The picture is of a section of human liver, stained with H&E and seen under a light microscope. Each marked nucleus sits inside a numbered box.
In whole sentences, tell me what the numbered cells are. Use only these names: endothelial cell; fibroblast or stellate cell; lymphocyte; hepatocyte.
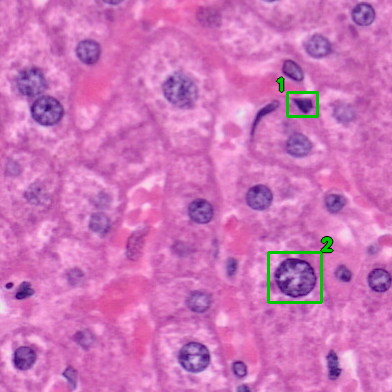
Cell 1 is a fibroblast or stellate cell. Cell 2 is a hepatocyte.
